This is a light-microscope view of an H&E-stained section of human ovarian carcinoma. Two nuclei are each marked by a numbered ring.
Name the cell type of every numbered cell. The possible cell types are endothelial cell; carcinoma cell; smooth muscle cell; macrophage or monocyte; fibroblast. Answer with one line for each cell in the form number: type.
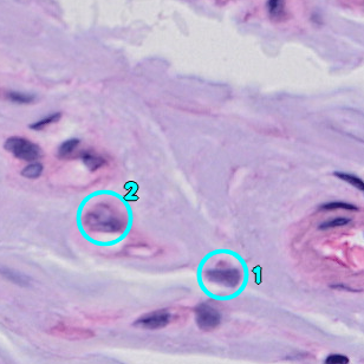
1: fibroblast
2: endothelial cell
